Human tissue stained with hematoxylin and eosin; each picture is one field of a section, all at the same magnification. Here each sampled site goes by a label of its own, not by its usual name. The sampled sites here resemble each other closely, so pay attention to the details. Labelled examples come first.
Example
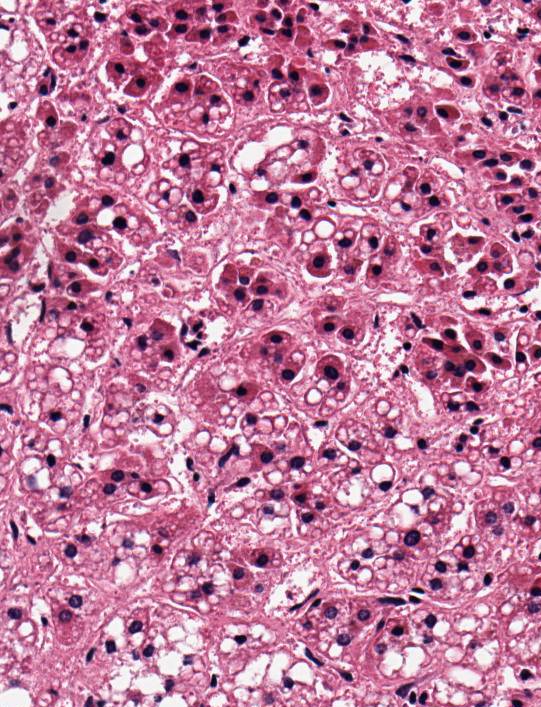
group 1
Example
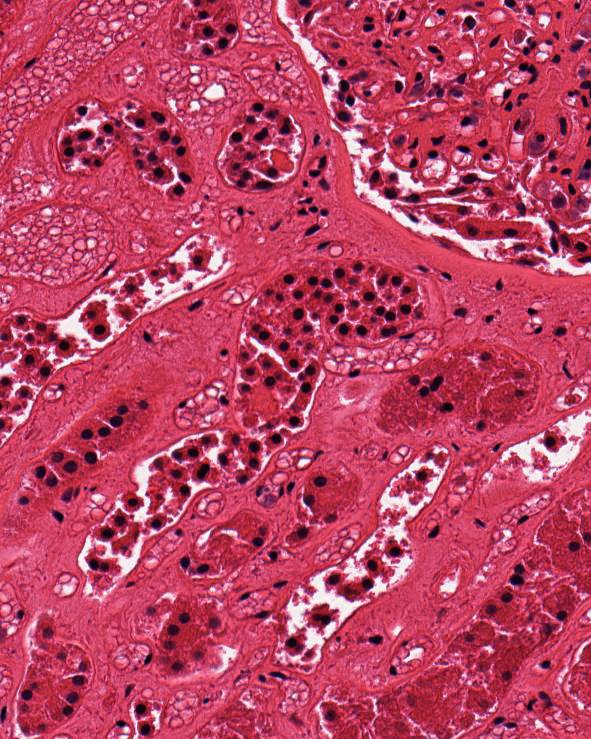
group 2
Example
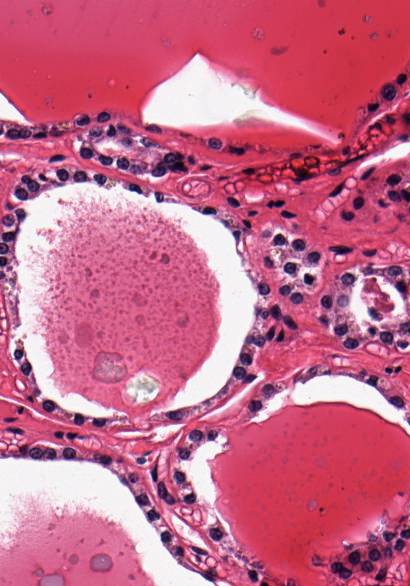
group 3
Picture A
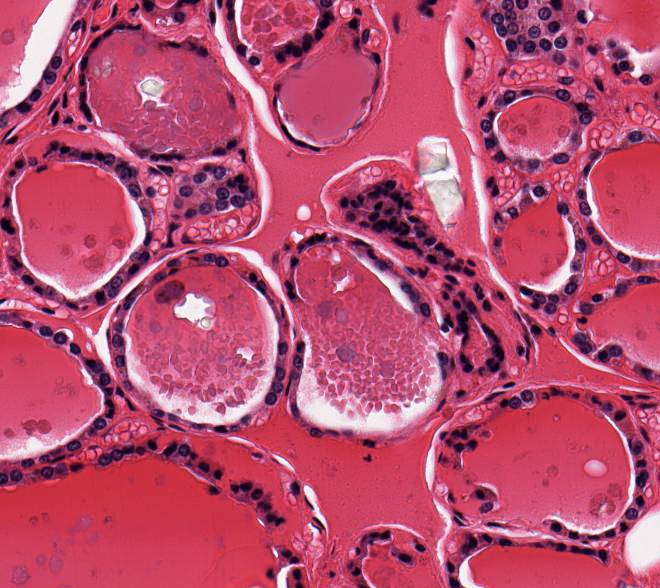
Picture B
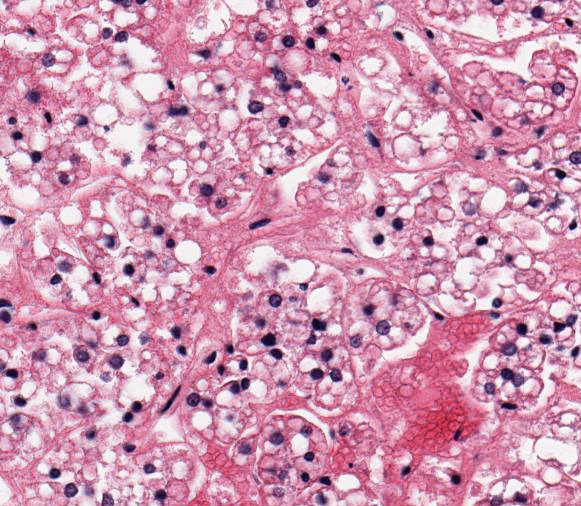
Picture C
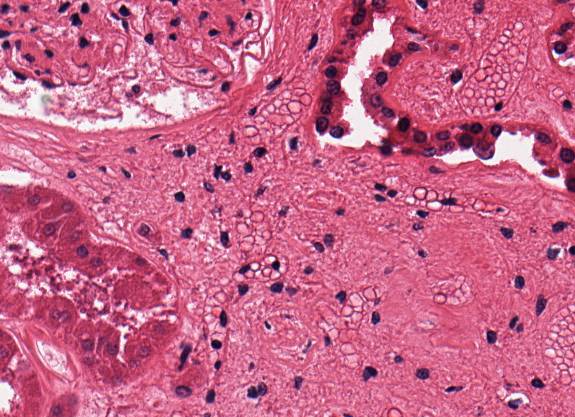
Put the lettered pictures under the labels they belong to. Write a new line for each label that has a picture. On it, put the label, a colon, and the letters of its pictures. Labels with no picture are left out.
group 1: B
group 2: C
group 3: A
